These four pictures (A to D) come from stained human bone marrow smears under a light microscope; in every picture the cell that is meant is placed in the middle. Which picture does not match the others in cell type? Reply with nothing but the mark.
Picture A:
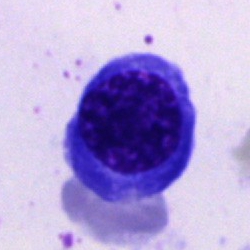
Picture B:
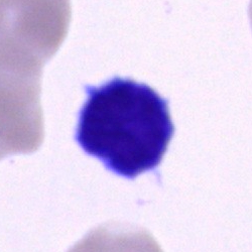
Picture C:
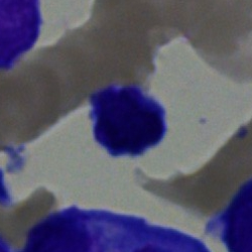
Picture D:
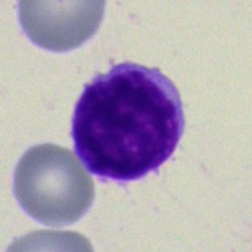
A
